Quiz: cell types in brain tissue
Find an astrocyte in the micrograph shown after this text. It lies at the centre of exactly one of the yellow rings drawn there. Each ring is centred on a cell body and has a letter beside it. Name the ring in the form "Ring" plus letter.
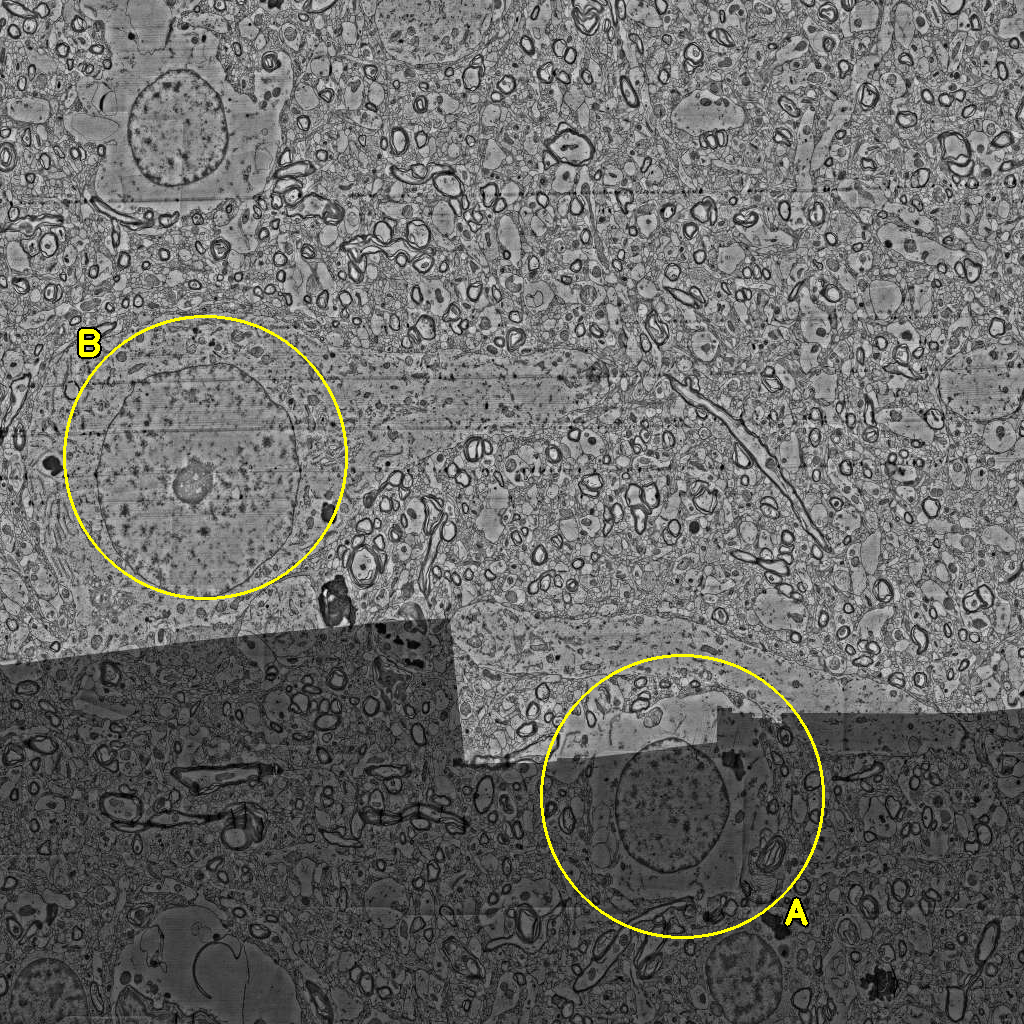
Ring A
